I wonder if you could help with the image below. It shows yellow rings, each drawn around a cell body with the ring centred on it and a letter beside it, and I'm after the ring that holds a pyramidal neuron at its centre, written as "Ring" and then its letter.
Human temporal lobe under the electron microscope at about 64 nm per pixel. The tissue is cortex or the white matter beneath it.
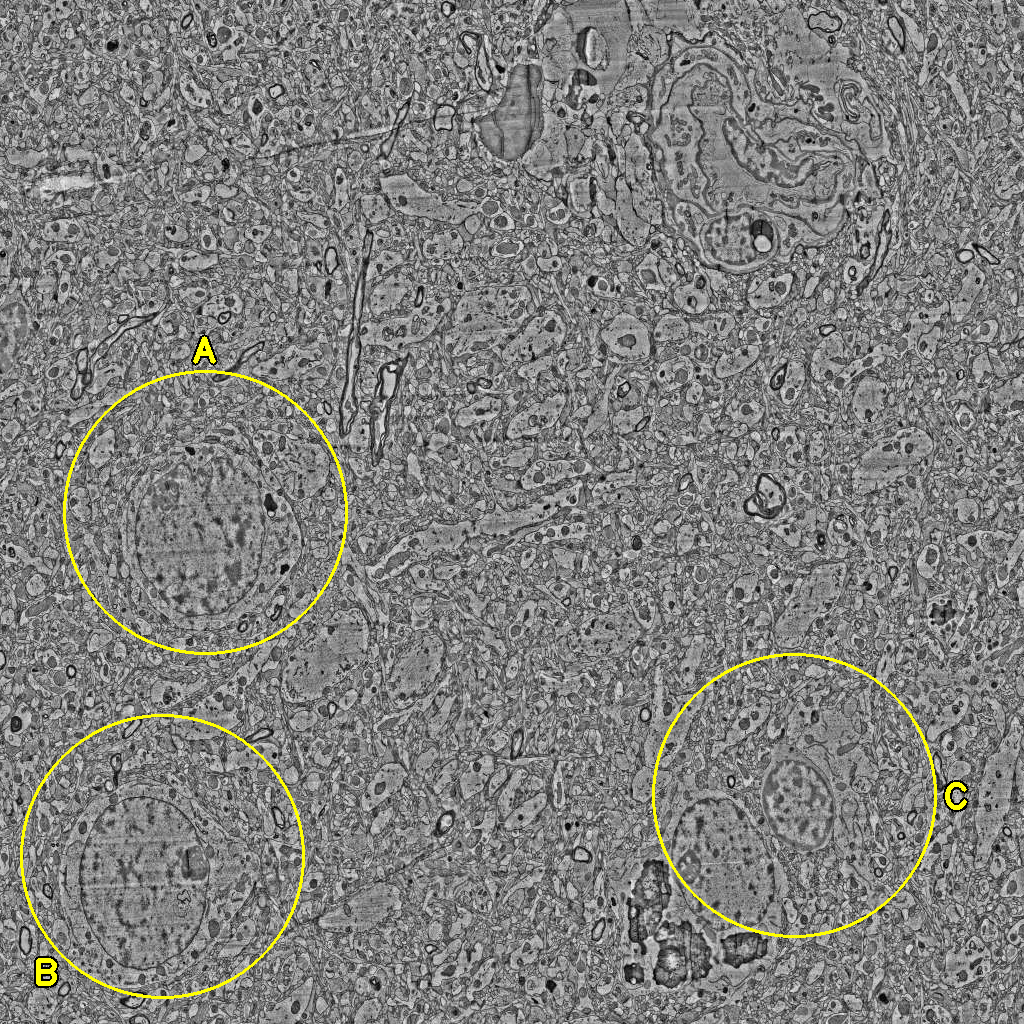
Ring B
